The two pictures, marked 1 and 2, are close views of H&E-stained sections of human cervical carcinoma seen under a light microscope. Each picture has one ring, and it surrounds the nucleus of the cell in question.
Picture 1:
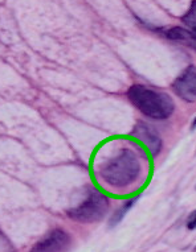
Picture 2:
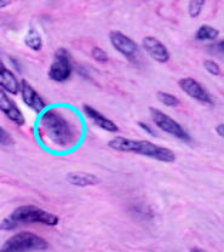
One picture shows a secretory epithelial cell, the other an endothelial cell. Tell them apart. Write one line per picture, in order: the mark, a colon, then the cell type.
1: secretory epithelial cell
2: endothelial cell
